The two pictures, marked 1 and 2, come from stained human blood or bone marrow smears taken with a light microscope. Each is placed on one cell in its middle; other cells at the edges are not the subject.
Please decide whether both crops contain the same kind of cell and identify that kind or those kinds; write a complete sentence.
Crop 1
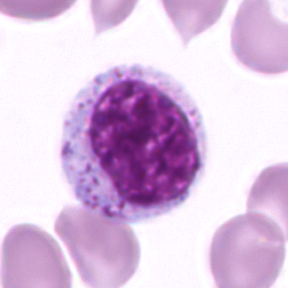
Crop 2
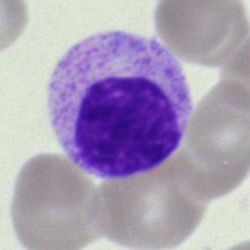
No, look again: crop 1 shows a metamyelocyte, and crop 2 shows a myelocyte.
